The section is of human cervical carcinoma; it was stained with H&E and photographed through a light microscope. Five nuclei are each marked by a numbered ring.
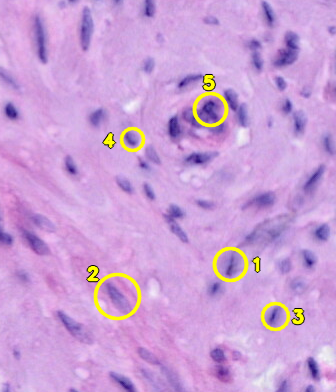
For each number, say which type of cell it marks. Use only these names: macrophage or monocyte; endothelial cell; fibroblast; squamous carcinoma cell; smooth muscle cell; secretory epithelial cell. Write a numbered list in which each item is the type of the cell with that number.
1. fibroblast
2. smooth muscle cell
3. fibroblast
4. fibroblast
5. endothelial cell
